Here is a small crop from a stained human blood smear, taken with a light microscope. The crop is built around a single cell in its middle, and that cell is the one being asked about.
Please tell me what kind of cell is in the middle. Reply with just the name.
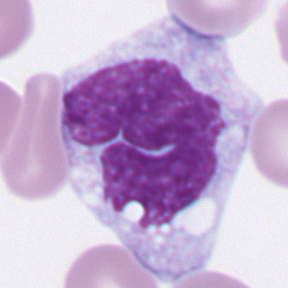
monocyte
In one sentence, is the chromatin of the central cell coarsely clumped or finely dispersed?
The chromatin is fine, with no coarse clumping anywhere.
